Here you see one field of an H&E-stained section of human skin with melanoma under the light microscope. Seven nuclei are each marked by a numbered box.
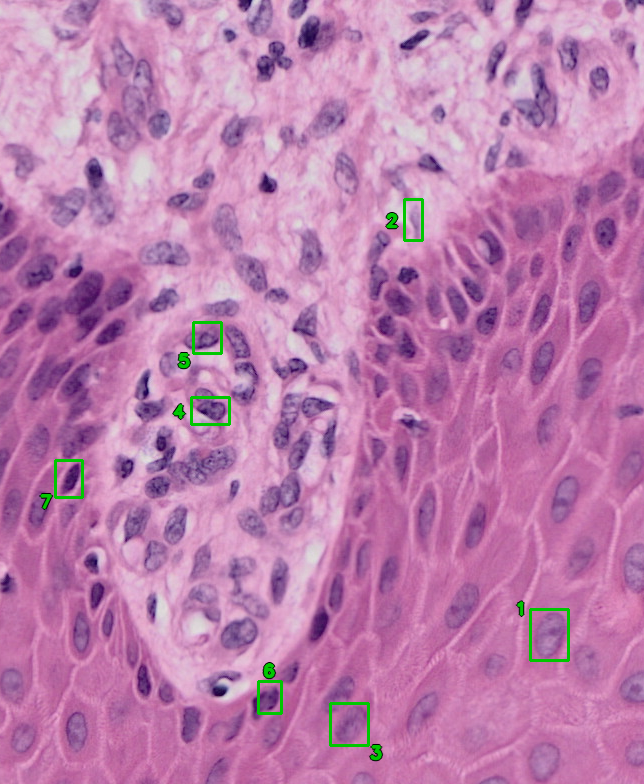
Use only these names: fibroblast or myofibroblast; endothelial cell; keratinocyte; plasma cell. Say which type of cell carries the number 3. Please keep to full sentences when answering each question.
Marked with the number 3, this cell is a keratinocyte.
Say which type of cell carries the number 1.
The cell numbered 1 has been identified as a keratinocyte.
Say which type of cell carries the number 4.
Looking at the numbered marks, cell 4 is an endothelial cell.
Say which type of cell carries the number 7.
Regarding cell 7, this one is a keratinocyte.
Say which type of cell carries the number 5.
The cell bearing label 5 corresponds to an endothelial cell.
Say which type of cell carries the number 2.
The cell pointed out as number 2 is a fibroblast or myofibroblast.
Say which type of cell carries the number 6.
The cell that carries the label 6 is a keratinocyte.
